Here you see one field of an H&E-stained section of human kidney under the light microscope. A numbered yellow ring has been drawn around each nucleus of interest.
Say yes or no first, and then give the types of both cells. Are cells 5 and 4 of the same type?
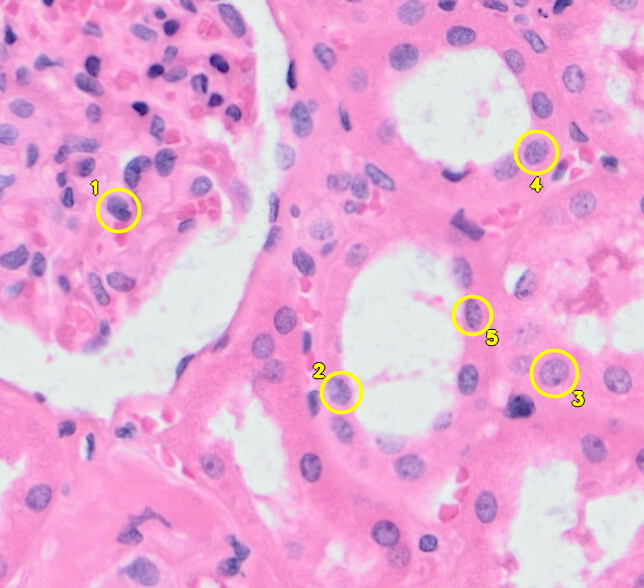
Yes, in the case of cells 5 and 4, both are loop of Henle or distal tubule cells.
